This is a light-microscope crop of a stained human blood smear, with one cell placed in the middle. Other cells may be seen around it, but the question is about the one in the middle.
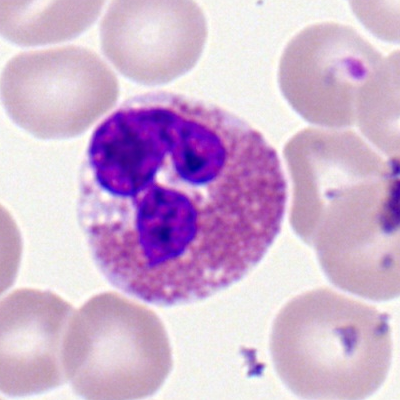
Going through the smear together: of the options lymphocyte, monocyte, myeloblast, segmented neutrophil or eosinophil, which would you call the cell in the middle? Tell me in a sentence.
The centrally placed cell is classified as an eosinophil.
